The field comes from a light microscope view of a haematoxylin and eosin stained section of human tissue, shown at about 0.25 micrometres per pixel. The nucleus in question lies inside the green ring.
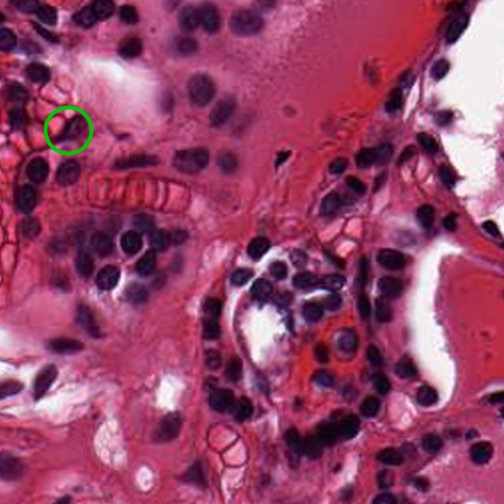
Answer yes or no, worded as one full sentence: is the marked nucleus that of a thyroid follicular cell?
No, the marked nucleus is part of a supporting cell and does not belong to a thyroid follicular cell.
